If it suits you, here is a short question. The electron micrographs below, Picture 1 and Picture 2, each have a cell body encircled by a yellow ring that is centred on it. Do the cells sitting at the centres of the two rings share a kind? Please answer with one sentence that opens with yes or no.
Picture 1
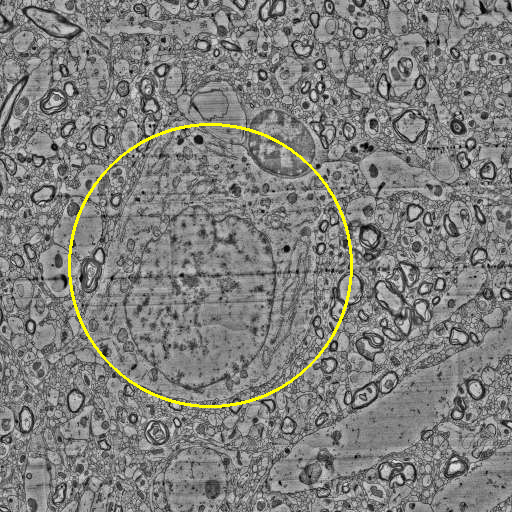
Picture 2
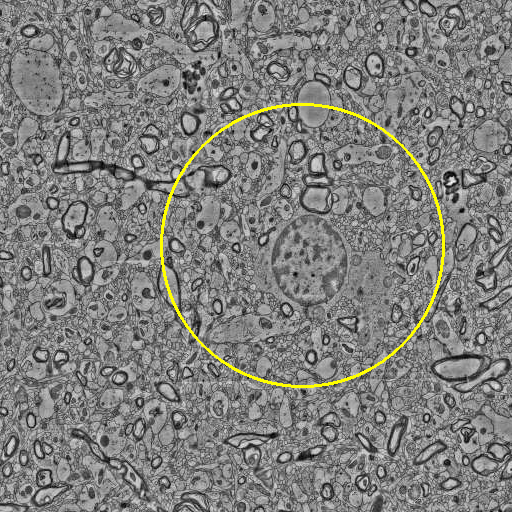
No, the two cells sitting at the ring centres fall into two kinds.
